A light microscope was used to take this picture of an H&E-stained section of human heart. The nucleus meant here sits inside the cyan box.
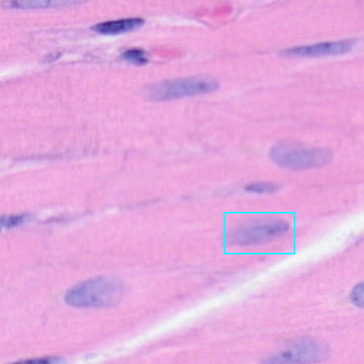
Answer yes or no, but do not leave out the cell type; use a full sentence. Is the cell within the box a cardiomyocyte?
Yes, the cell within the box is, by type, a cardiomyocyte.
